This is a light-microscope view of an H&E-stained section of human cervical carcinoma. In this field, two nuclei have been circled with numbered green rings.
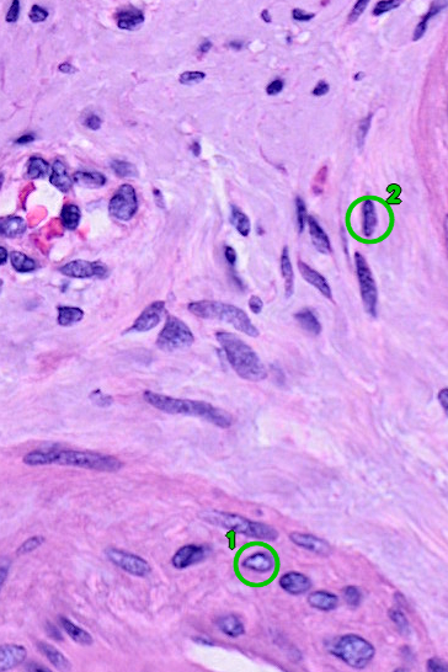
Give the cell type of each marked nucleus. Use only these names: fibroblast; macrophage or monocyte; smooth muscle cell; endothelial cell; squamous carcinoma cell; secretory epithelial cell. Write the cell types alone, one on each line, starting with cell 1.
smooth muscle cell
fibroblast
